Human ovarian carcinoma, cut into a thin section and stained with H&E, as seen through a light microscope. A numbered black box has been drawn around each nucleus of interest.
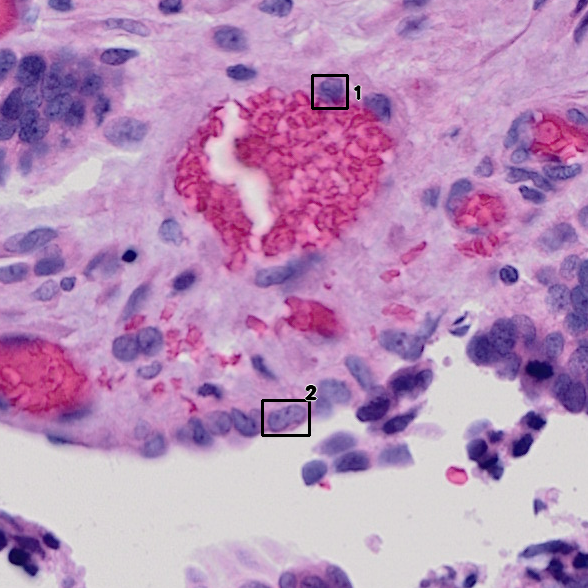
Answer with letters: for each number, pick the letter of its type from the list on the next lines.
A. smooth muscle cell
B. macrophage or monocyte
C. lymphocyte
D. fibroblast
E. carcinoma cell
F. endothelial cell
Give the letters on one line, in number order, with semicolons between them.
F; E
